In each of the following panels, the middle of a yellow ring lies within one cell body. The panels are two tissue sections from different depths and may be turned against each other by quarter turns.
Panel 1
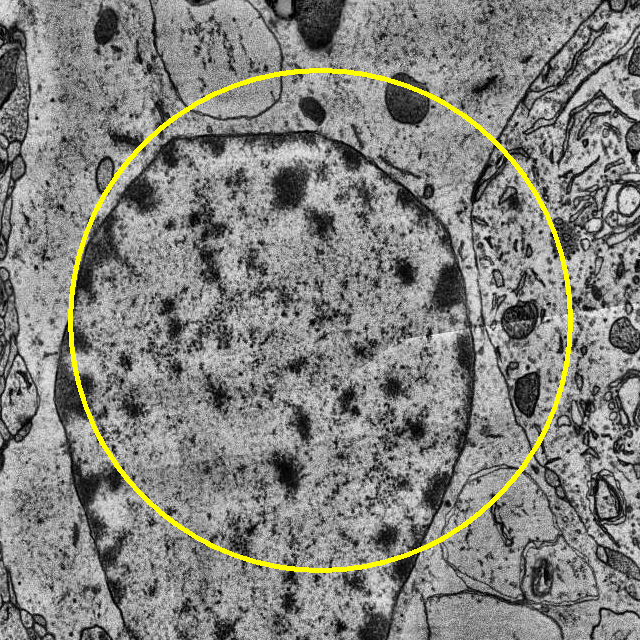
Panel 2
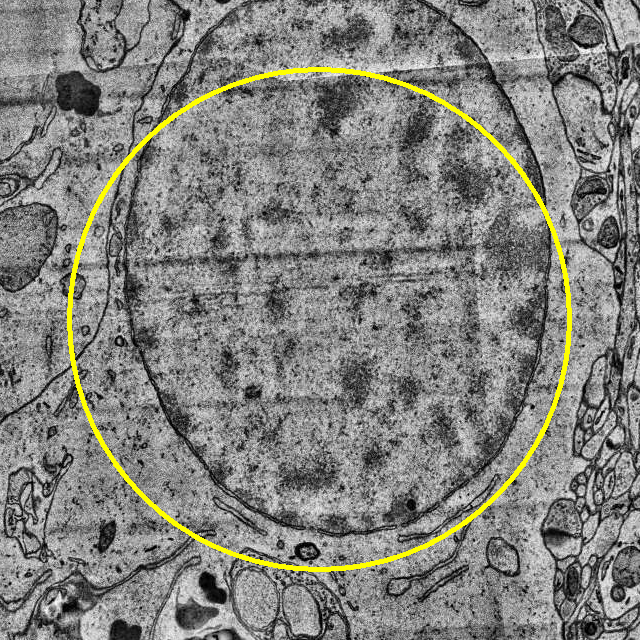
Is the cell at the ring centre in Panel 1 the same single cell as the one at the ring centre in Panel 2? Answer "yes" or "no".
no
